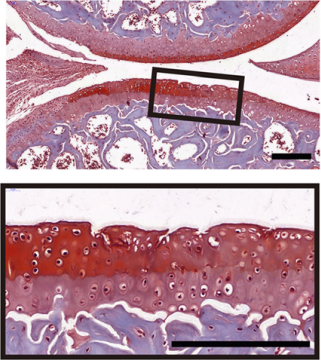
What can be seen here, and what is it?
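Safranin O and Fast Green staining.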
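Articular cartilage of two opposing bone ends across a narrow joint space, with chondrocytes in lacunae, stained red over blue-stained subchondral bone. Small rounded chondrocytes lie singly or in short vertical columns within lacunae. Below the cartilage, blue-stained bone with marrow spaces forms an irregular boundary.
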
